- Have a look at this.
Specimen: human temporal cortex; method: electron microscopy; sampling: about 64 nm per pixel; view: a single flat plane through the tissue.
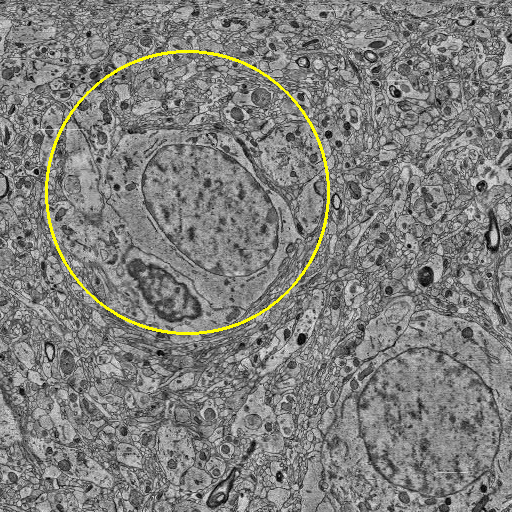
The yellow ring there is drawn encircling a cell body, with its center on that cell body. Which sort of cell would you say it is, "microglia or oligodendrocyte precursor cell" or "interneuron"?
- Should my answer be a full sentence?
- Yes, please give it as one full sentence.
For this picture, a microglial cell or oligodendrocyte precursor cell is the cell where the yellow ring has its center.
